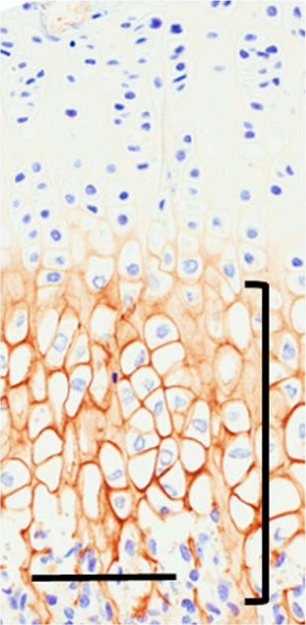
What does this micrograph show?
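This is growth plate cartilage with its chondrocytes in zones from top to bottom. At the top, small chondrocytes with compact blue nuclei sit scattered in pale, unstained matrix, and below them they become flattened and lined up in columns. Further down the cells swell into large hypertrophic chondrocytes with clear, empty-looking cytoplasm and small nuclei. The matrix between these big cells is stained brown, outlining each lacuna in a honeycomb pattern, while the upper zones stay unstained.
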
